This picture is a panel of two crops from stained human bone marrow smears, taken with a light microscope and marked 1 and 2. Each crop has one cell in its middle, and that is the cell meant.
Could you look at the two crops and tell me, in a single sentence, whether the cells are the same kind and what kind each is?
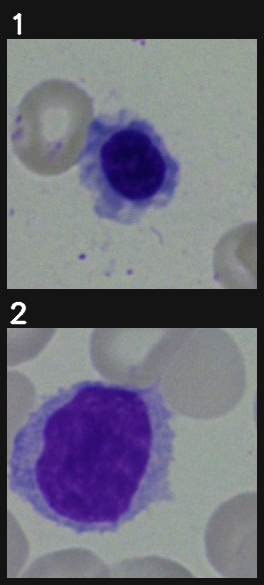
No, an erythroblast is in crop 1, while a lymphocyte is in crop 2.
